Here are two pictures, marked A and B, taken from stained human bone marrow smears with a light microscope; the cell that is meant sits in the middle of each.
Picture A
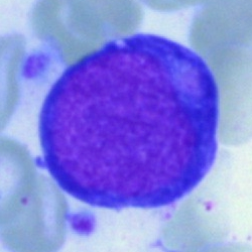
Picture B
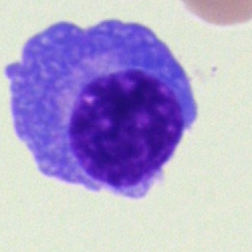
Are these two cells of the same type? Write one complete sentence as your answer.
No. Picture A shows a proerythroblast, but picture B shows a plasma cell.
